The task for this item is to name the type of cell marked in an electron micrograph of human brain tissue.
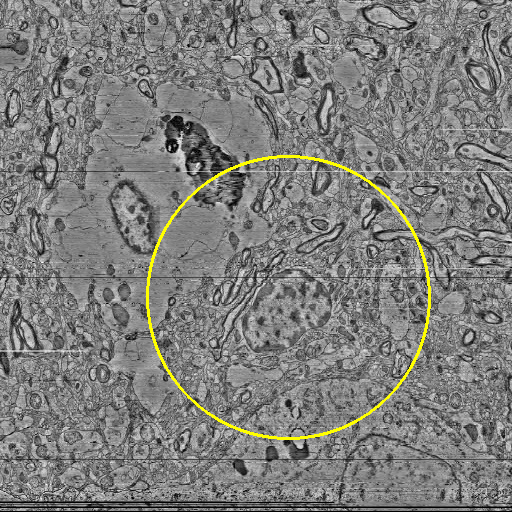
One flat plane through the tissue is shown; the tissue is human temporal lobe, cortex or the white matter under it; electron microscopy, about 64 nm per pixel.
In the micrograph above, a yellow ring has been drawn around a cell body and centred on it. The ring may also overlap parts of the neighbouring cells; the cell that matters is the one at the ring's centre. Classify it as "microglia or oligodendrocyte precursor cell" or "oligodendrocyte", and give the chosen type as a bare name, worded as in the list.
microglia or oligodendrocyte precursor cell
